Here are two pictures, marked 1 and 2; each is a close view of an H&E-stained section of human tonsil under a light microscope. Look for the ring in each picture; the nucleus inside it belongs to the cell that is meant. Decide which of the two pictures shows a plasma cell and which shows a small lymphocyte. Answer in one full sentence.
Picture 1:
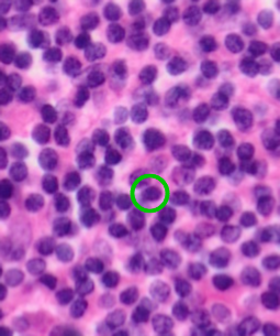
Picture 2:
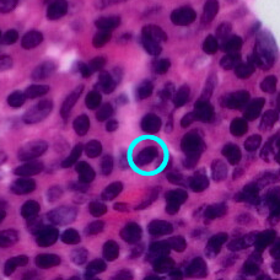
Picture 2 shows a plasma cell, while picture 1 shows a small lymphocyte.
